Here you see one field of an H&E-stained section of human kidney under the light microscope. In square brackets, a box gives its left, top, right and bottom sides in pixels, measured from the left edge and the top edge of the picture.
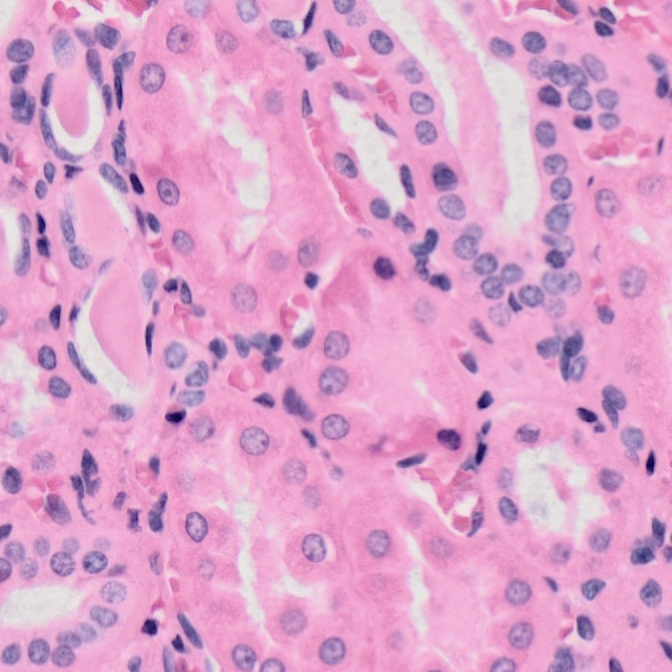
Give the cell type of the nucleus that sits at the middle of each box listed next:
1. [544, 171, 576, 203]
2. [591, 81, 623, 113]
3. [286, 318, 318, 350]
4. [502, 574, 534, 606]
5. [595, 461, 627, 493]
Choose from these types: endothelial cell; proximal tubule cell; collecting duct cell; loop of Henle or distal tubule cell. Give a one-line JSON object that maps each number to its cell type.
{"1": "collecting duct cell", "2": "collecting duct cell", "3": "endothelial cell", "4": "proximal tubule cell", "5": "loop of Henle or distal tubule cell"}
